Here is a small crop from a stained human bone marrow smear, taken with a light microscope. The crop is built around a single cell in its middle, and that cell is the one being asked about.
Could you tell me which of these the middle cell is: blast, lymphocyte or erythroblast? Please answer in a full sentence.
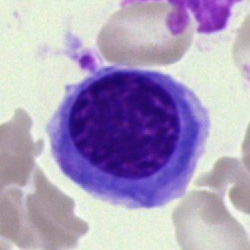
Centrally within this crop lies an erythroblast.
